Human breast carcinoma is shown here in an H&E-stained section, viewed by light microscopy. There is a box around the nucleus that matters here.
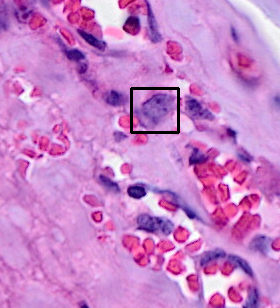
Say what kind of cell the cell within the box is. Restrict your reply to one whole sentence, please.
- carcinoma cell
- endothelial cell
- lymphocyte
What the cell within the box represents is an endothelial cell.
